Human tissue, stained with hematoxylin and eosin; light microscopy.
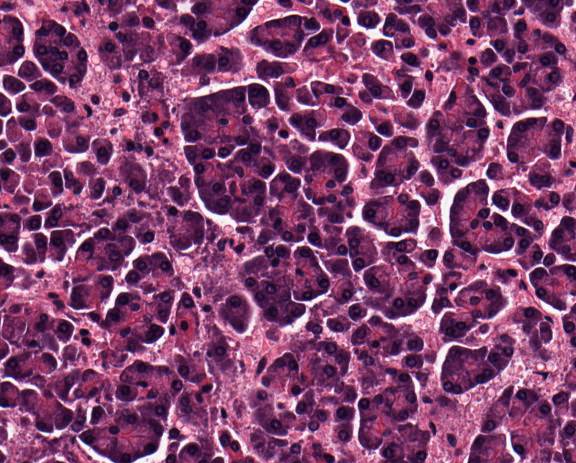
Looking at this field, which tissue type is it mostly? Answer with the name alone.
exocrine pancreas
